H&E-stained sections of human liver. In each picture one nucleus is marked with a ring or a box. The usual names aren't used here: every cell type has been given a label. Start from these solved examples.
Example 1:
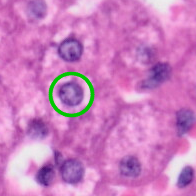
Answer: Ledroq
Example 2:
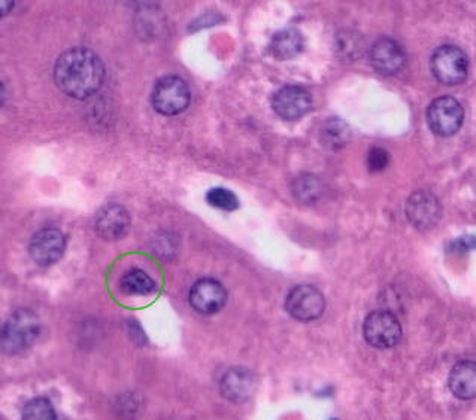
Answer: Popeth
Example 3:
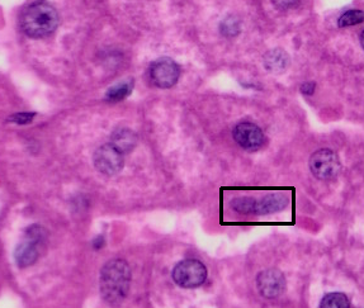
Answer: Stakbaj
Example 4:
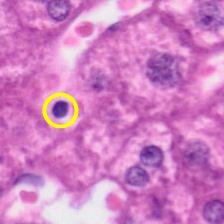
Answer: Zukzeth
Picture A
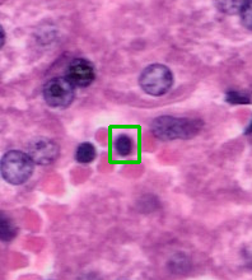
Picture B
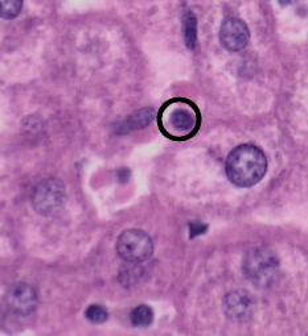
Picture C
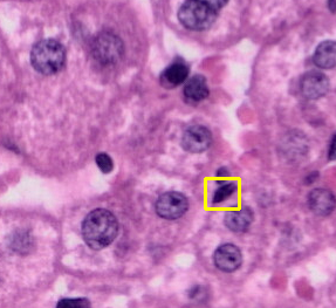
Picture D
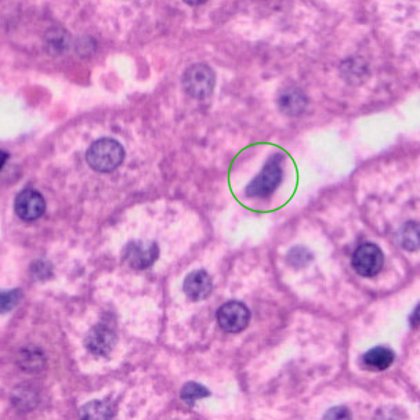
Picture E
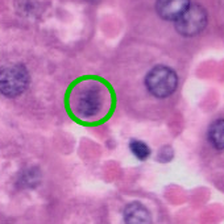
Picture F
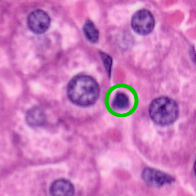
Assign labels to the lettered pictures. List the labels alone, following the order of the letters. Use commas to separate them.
Zukzeth, Zukzeth, Popeth, Stakbaj, Popeth, Zukzeth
